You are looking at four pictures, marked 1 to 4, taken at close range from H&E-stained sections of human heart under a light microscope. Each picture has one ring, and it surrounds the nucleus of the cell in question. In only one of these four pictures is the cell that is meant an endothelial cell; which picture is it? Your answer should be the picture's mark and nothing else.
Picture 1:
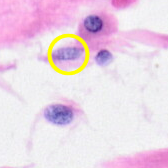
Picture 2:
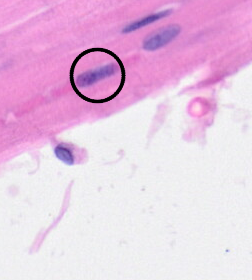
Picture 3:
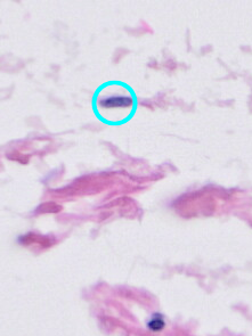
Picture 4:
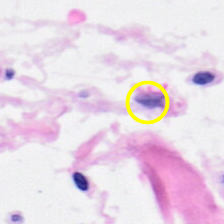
2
